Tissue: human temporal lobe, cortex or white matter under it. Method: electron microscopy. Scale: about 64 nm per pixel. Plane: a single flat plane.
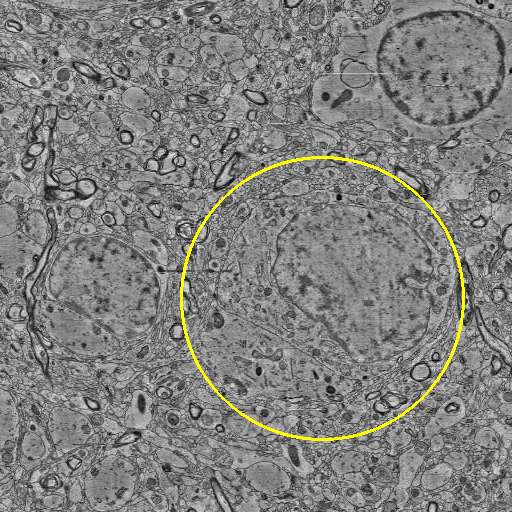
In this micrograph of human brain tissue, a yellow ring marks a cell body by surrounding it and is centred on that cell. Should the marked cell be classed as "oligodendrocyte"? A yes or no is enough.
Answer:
no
